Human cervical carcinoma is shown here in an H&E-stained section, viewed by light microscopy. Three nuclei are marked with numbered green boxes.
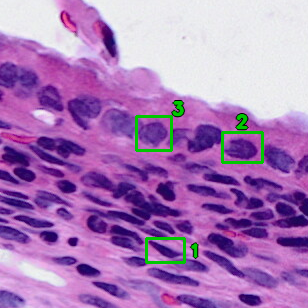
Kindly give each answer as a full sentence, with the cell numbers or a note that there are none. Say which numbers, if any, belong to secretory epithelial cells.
The numbers 2 and 3 refer to cells that are secretory epithelial cells.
